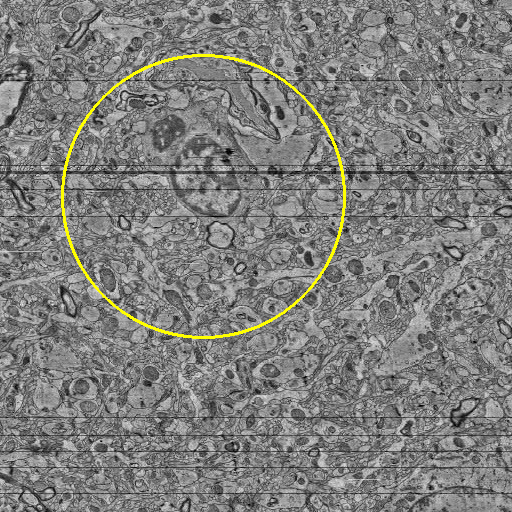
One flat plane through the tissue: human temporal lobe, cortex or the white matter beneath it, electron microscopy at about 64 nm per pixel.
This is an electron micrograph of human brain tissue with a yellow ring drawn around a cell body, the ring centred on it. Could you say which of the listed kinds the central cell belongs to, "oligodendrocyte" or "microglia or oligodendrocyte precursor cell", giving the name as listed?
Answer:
oligodendrocyte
